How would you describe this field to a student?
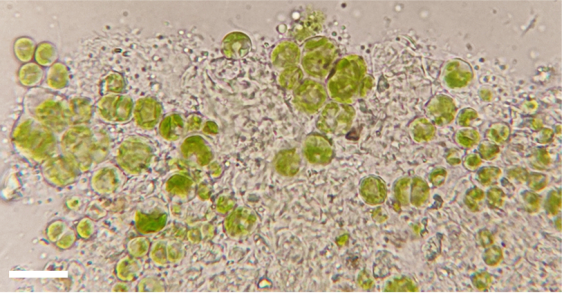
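These are photosynthetic microalgae scattered through a pale, granular matrix. The green cells are mostly spherical, each with a thin clear wall and green cytoplasm filling much of the cell; many lie singly, while others sit in pairs, fours or small clusters where daughter cells appear still grouped together. Cell sizes vary, some larger rounded cells containing divided contents. Between the cells is a colourless, finely granular material with faint outlines of empty envelopes, giving a loose, unevenly distributed arrangement of the green cells across the field.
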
